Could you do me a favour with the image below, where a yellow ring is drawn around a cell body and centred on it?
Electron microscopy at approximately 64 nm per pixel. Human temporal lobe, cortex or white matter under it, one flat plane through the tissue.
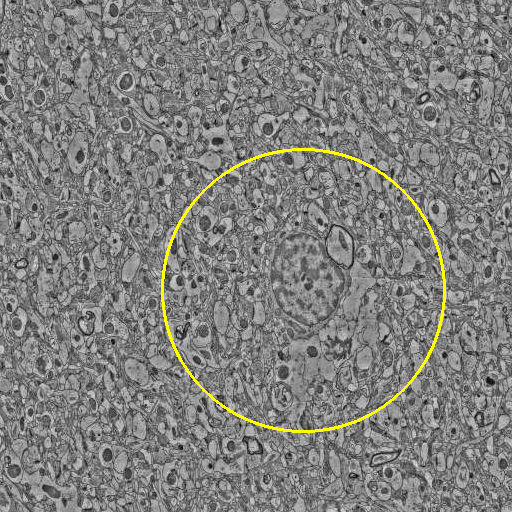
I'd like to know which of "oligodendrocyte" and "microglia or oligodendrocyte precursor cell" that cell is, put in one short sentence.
The cell at the ring's centre is an oligodendrocyte.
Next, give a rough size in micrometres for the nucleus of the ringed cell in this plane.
Roughly 6 by 5 micrometres in this plane, for the nucleus of the ringed cell.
